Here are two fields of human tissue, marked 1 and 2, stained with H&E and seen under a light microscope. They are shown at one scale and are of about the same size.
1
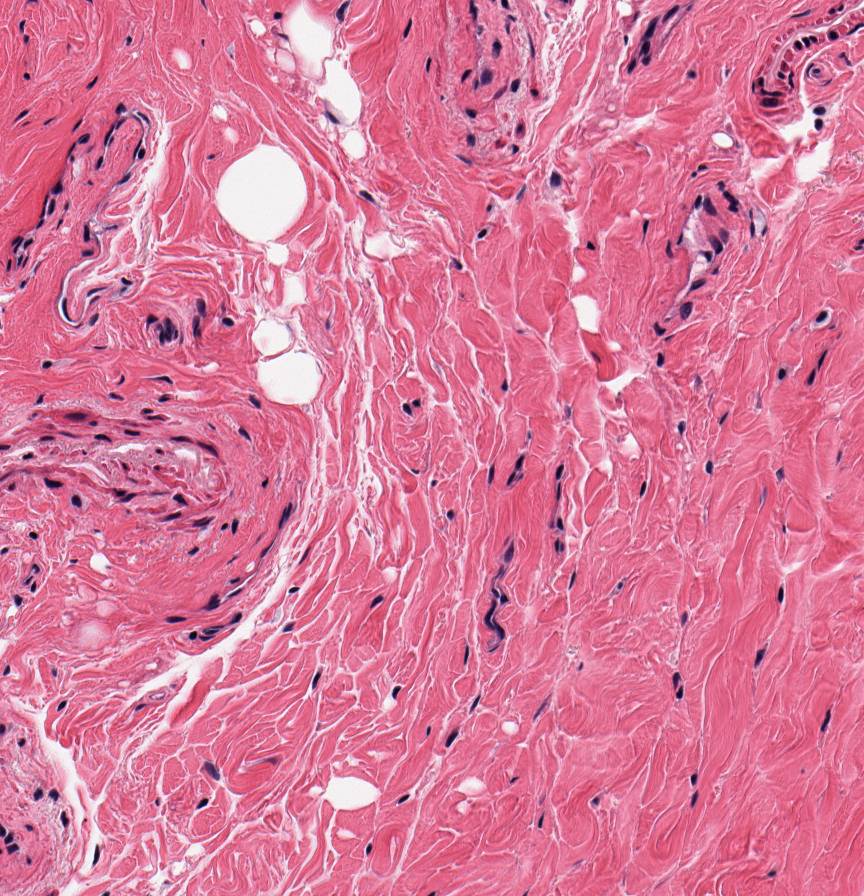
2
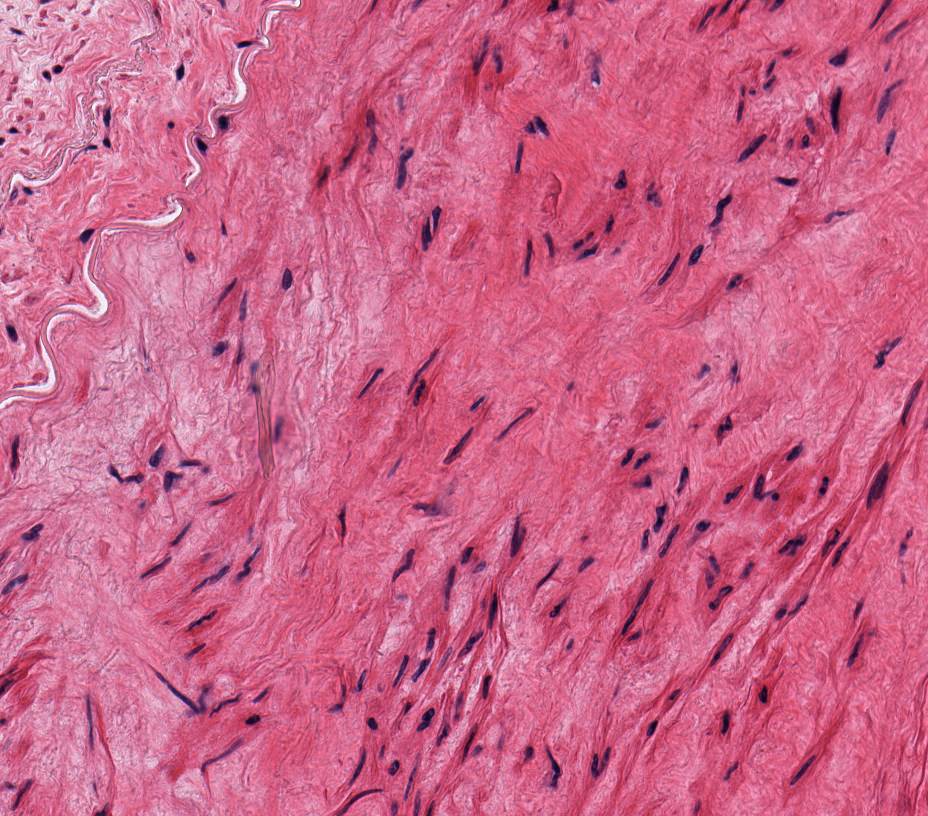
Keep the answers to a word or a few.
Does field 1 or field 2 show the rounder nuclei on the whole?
1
